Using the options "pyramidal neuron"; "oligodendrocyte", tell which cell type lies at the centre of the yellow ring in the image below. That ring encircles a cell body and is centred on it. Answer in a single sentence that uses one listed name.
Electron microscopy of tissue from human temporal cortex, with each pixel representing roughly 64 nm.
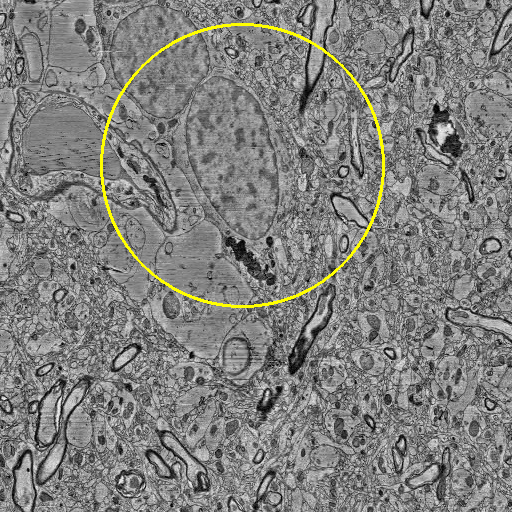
At the centre of the yellow ring lies the body of an oligodendrocyte.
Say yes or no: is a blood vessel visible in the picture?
Yes, there is a blood vessel.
